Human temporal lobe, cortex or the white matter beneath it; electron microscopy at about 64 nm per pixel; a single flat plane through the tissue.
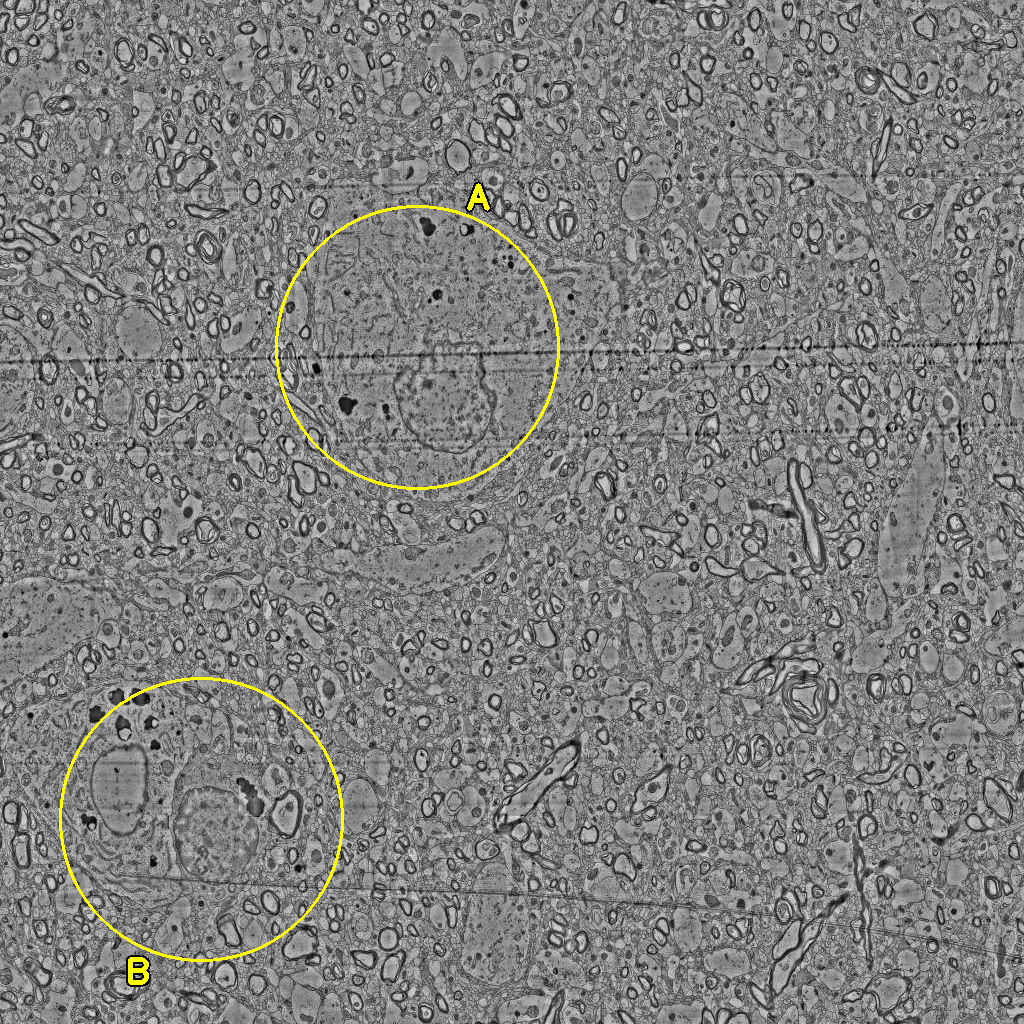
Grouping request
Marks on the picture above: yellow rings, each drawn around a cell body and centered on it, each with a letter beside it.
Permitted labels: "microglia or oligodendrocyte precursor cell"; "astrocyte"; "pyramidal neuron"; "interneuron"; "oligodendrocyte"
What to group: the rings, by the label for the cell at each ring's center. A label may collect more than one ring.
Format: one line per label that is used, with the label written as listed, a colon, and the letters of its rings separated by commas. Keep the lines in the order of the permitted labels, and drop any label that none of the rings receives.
pyramidal neuron: A
oligodendrocyte: B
